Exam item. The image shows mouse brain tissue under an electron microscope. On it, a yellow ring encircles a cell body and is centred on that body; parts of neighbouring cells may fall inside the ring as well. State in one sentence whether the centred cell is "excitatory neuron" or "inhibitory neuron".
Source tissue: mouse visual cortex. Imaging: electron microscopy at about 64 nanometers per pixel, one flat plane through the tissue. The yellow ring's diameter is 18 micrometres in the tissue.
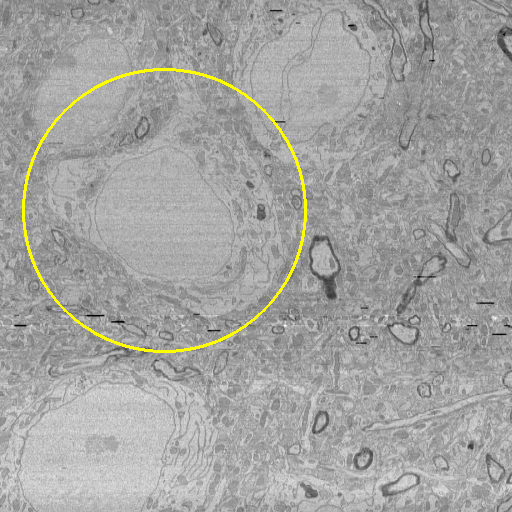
The cell body centred in the ring is an excitatory neuron.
